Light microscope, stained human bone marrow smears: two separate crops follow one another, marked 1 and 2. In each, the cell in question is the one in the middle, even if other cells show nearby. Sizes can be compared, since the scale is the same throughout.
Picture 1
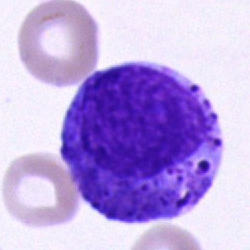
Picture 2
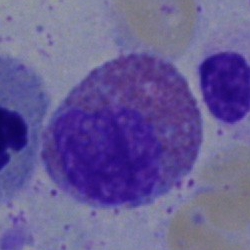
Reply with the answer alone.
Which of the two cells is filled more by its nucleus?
1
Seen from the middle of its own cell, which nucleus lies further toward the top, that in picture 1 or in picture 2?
1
